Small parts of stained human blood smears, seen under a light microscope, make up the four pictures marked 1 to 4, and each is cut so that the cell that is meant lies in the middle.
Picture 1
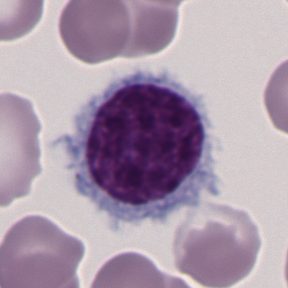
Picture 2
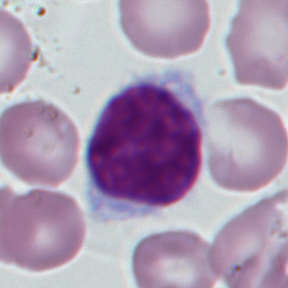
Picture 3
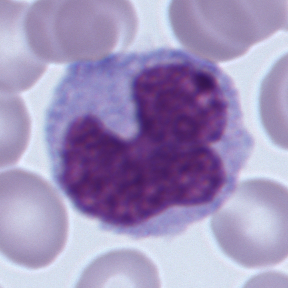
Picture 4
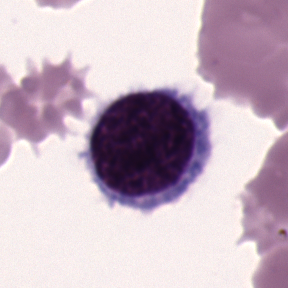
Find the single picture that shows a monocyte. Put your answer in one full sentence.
The picture with the monocyte is 3.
